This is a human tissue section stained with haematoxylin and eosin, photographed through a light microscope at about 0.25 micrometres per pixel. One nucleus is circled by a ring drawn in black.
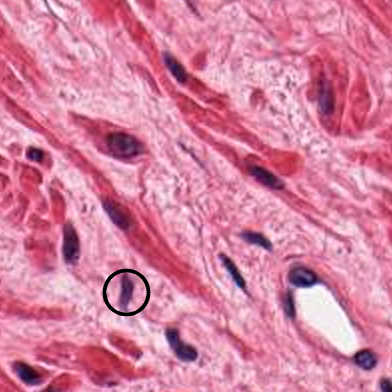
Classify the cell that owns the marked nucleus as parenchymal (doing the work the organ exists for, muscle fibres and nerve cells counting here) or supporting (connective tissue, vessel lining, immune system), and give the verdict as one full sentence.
It is in a supporting cell that the marked nucleus lies.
